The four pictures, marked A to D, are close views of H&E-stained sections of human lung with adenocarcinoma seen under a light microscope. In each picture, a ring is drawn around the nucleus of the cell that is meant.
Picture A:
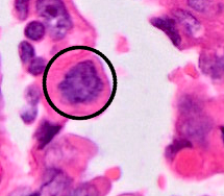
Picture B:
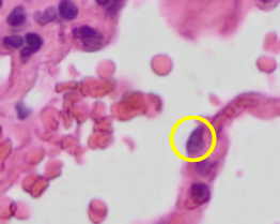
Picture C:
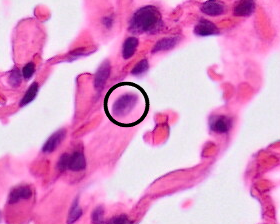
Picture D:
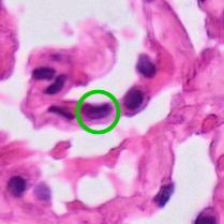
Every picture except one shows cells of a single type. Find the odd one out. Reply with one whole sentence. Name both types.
All pictures except A show type I pneumocytes; picture A shows a carcinoma cell.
